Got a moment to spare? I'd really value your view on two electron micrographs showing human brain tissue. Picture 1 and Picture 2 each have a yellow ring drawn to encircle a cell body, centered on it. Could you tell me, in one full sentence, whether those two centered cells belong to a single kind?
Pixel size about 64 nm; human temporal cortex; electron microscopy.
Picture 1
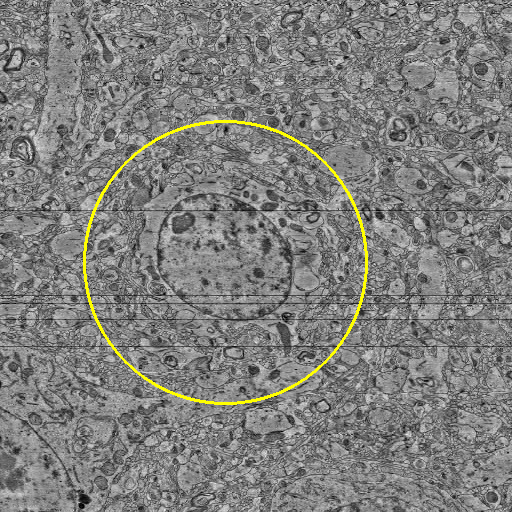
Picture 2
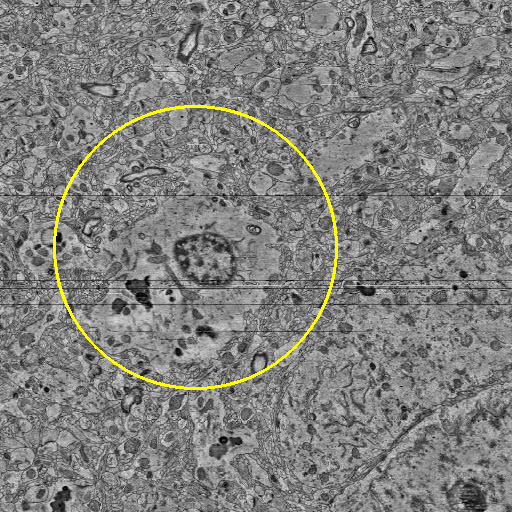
Yes, the two centered cells in Picture 1 and Picture 2 are of a single kind.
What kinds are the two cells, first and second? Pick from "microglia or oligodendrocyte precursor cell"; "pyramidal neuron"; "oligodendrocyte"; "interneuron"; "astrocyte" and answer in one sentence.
The first and the second cell are each an astrocyte.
